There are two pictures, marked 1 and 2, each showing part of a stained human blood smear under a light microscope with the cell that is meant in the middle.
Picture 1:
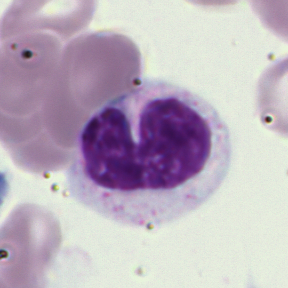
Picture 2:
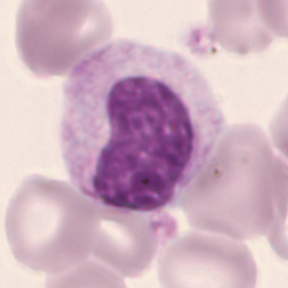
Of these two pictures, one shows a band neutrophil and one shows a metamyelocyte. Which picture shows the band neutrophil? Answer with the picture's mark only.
1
